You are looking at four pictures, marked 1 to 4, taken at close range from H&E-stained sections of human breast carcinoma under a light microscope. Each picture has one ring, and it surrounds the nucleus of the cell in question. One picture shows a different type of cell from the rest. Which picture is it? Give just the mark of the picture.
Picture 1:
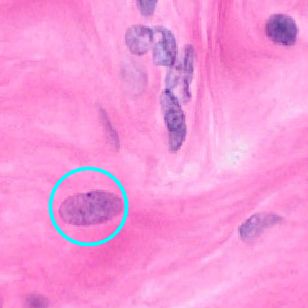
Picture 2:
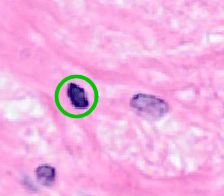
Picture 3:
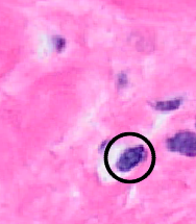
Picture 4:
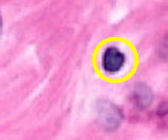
1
